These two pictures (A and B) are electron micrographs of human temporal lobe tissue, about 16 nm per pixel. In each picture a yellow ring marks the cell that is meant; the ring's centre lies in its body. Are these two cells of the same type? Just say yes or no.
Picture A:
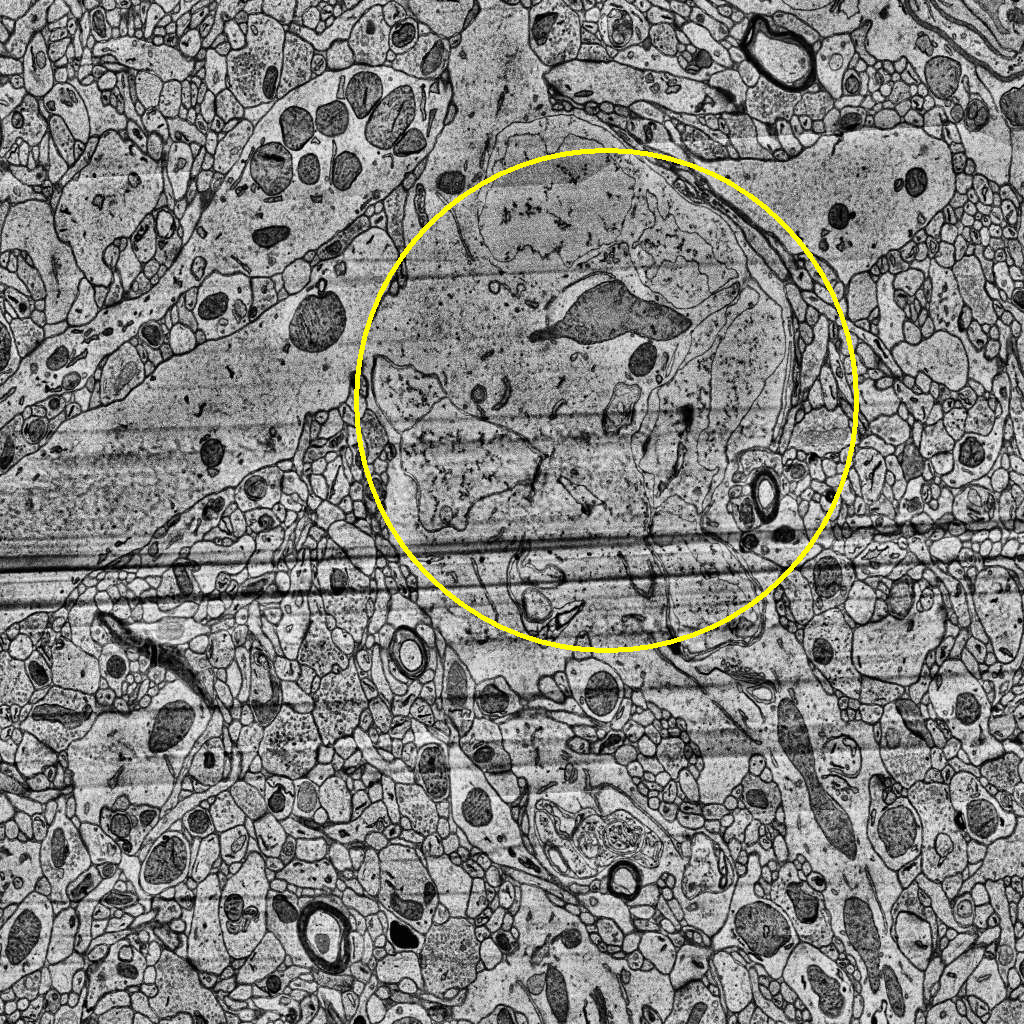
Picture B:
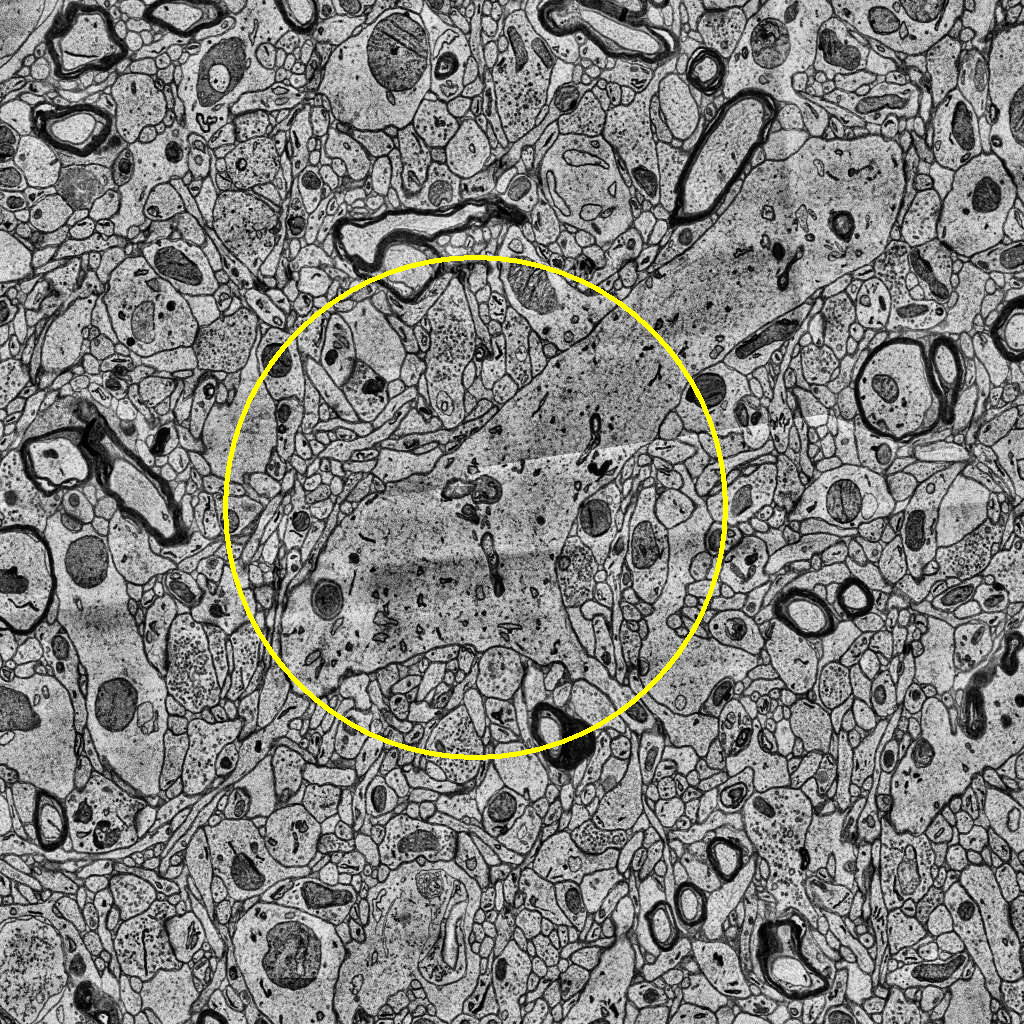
no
